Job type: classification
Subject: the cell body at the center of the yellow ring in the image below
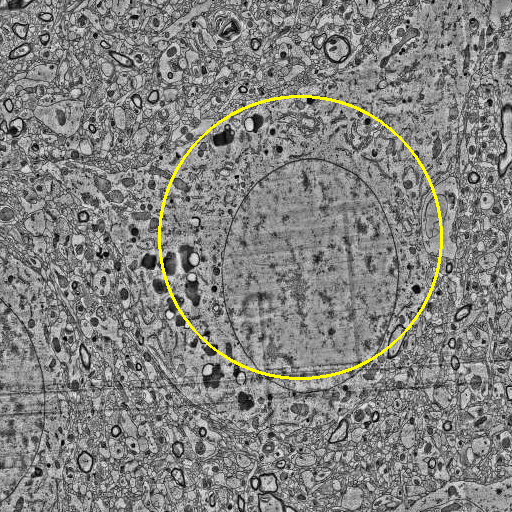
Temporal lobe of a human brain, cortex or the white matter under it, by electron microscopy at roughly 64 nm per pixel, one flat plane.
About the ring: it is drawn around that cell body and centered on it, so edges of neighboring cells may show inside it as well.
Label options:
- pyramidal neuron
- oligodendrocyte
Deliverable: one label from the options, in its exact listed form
pyramidal neuron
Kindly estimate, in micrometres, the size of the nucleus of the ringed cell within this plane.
The nucleus measures about 14 by 12 micrometres in this plane.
